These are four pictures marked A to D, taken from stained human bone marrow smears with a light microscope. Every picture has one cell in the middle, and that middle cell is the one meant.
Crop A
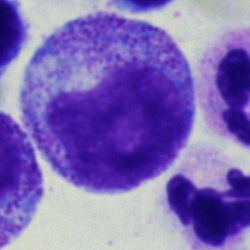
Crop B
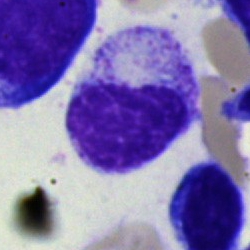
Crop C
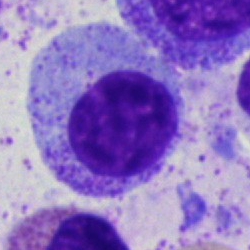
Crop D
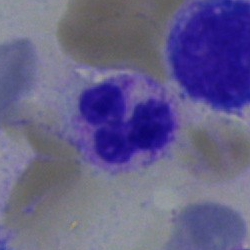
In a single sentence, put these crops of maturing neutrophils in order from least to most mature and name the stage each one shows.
By stage of maturation, from earliest to latest, the order is crop A (a promyelocyte), crop C (a myelocyte), crop B (a metamyelocyte) and crop D (a segmented neutrophil).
